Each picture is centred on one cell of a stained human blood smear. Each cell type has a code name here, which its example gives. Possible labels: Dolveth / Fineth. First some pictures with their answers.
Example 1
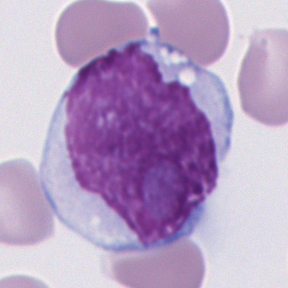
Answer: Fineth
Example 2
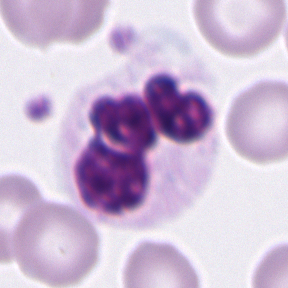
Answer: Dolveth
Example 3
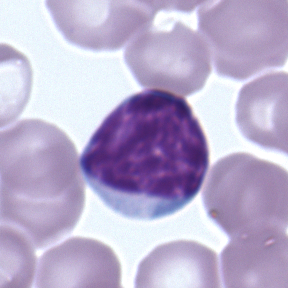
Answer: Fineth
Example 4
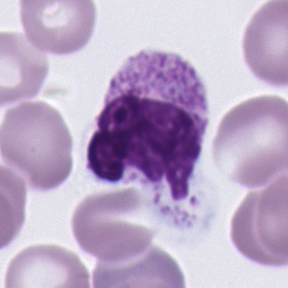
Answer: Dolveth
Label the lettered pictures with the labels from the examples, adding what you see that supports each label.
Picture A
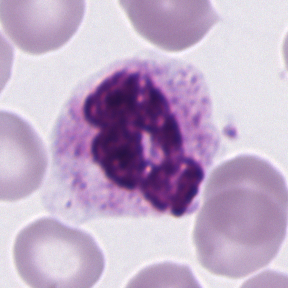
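Answer: Dolveth. The nucleus is lobed and curves around a small clear gap in its middle.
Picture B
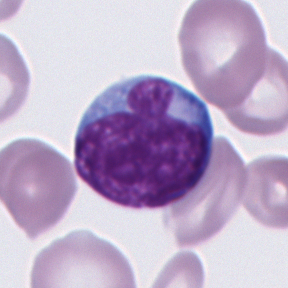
Answer: Fineth. The blue of the cytoplasm deepens toward the cell's edge.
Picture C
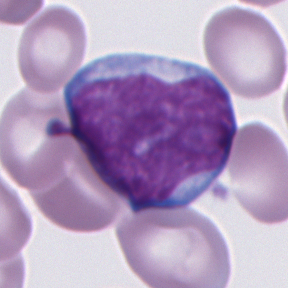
Answer: Fineth. The nucleus is a single unlobed mass.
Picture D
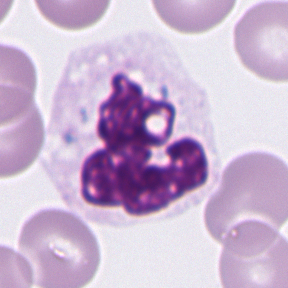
Answer: Dolveth. The cytoplasm is abundant and very pale lilac.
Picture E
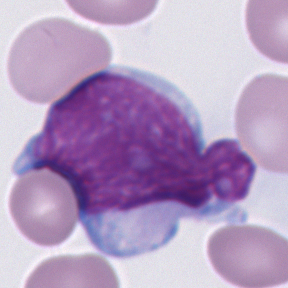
Answer: Fineth. The nucleus fills most of the cell.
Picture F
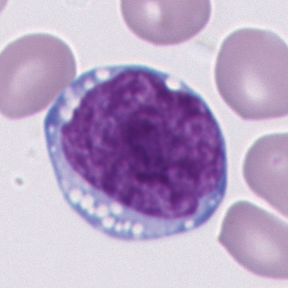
Answer: Fineth. The nucleus fills most of the cell, leaving a narrow rim of cytoplasm.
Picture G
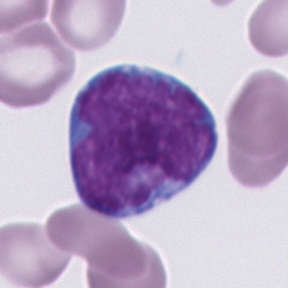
Answer: Fineth. The cytoplasm forms only a thin rim around the nucleus.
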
